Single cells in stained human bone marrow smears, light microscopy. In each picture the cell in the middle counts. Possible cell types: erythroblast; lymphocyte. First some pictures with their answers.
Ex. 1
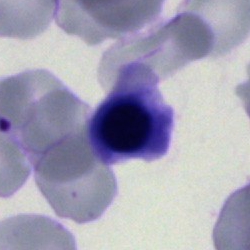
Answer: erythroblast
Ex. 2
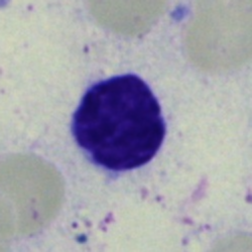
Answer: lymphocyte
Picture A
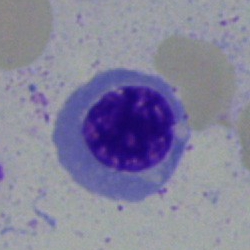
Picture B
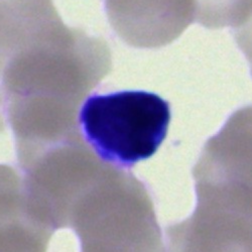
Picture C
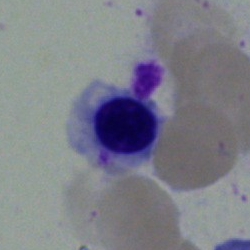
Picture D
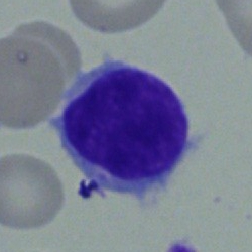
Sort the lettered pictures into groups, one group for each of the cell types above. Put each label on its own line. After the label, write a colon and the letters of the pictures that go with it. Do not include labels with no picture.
erythroblast: A, C
lymphocyte: B, D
